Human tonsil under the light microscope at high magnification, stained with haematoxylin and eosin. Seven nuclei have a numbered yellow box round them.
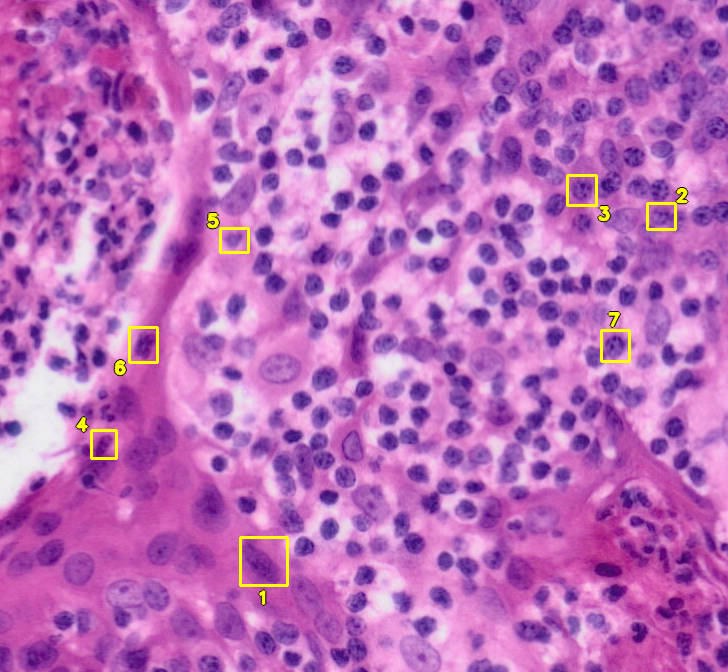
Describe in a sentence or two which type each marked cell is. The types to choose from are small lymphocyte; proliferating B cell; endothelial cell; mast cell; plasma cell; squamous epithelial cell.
Cells 1, 4, 5 and 6 are squamous epithelial cells. Cells 2, 3 and 7 are plasma cells.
